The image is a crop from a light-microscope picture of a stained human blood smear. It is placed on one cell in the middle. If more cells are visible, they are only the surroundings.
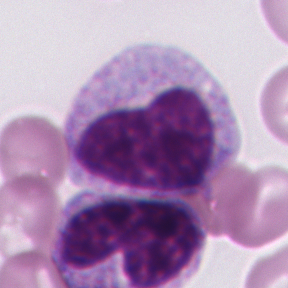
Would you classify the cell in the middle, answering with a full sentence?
The cell in the exact centre of the crop is a metamyelocyte.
